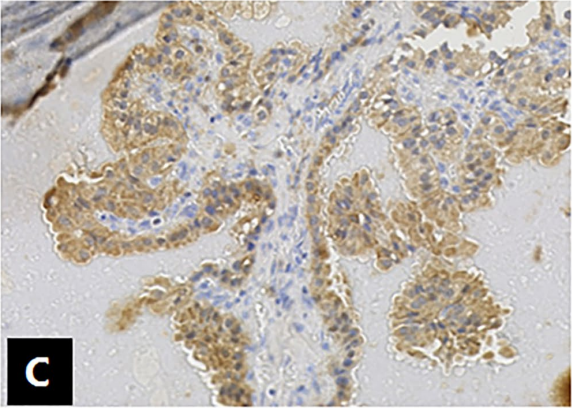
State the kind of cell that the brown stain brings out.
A: Tumor cells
